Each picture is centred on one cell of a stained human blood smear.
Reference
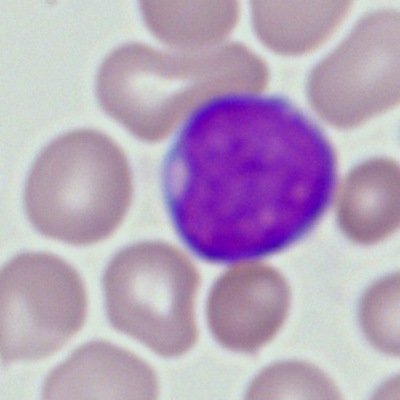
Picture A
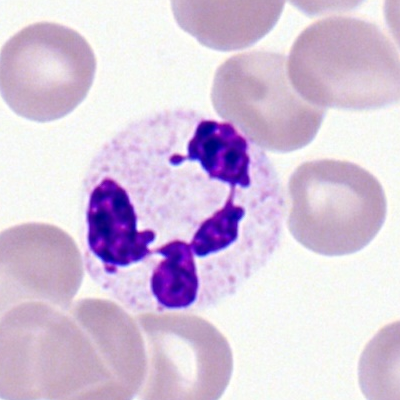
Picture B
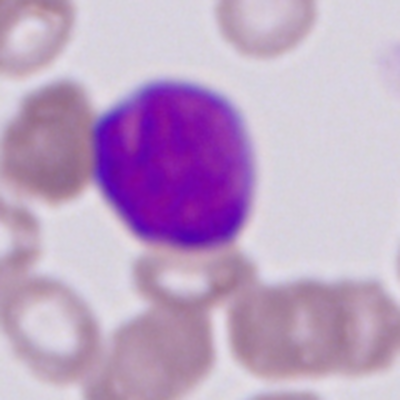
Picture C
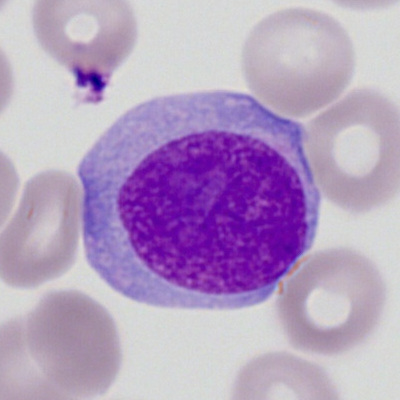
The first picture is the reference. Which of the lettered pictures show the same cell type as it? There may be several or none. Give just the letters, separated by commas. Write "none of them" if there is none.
B, C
